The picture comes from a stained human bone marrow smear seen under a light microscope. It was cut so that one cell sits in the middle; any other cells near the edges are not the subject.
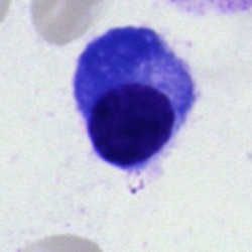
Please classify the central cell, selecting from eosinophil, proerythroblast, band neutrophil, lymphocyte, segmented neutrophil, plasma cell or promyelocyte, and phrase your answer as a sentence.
The cell the crop is centered on is a plasma cell.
